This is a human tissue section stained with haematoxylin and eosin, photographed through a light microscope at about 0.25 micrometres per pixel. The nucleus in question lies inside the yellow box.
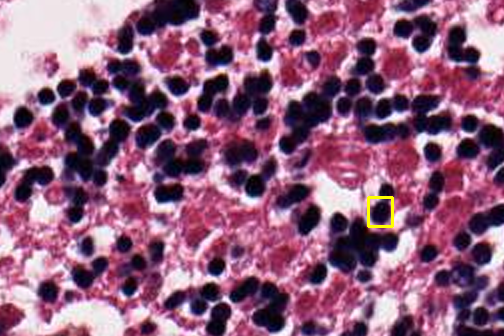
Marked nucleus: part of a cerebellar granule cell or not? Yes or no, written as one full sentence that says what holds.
Yes, the marked nucleus is found within a cerebellar granule cell.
